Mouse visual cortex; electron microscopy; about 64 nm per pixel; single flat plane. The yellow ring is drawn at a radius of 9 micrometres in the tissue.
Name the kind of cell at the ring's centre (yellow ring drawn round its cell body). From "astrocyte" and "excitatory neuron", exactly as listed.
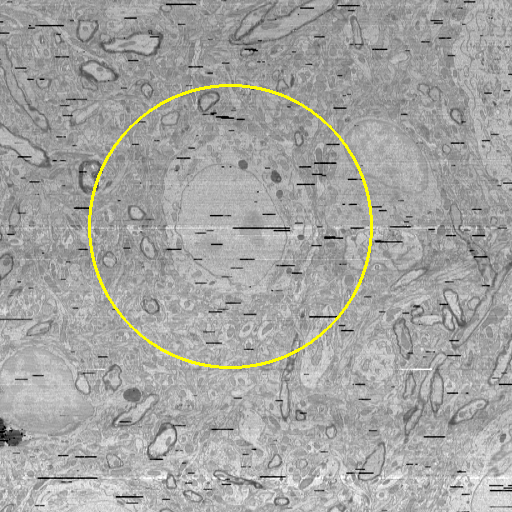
excitatory neuron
